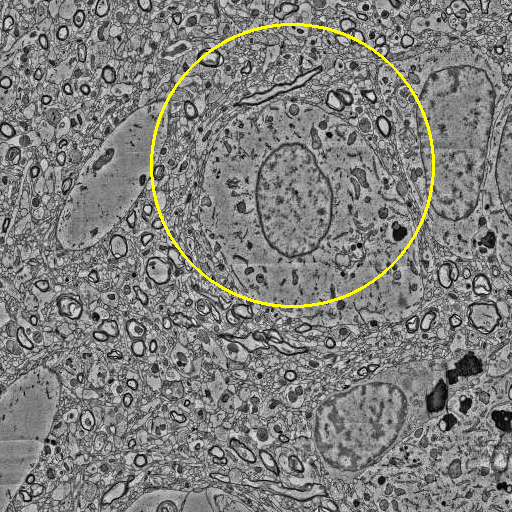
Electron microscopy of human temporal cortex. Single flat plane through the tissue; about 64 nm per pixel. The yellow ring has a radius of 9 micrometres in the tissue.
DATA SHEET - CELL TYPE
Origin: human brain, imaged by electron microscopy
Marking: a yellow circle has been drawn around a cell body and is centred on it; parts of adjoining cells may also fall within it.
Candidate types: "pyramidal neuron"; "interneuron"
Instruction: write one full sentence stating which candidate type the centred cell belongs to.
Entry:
The cell body at the centre of the yellow ring in this micrograph belongs to a pyramidal neuron.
